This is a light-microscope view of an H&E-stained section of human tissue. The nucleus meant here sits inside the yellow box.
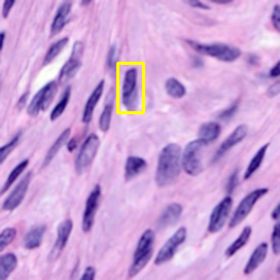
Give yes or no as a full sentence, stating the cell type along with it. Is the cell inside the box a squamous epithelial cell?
No, the cell inside the box is to be identified as a fibroblast, not a squamous epithelial cell.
